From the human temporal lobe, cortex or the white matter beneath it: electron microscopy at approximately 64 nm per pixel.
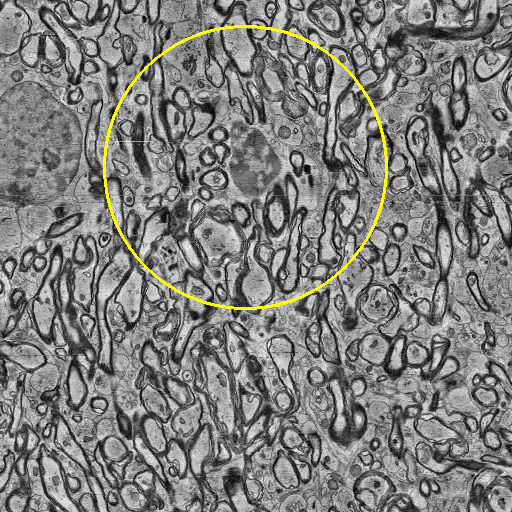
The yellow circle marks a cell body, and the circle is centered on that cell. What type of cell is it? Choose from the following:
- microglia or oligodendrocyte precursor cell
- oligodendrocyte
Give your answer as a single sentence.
This cell body belongs to a microglial cell or oligodendrocyte precursor cell.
